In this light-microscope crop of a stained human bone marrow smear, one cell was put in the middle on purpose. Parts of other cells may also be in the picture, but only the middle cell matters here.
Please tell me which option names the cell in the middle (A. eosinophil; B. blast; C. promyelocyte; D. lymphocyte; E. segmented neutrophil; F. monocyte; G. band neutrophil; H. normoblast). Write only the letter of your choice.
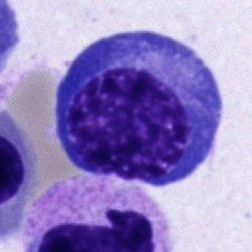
H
